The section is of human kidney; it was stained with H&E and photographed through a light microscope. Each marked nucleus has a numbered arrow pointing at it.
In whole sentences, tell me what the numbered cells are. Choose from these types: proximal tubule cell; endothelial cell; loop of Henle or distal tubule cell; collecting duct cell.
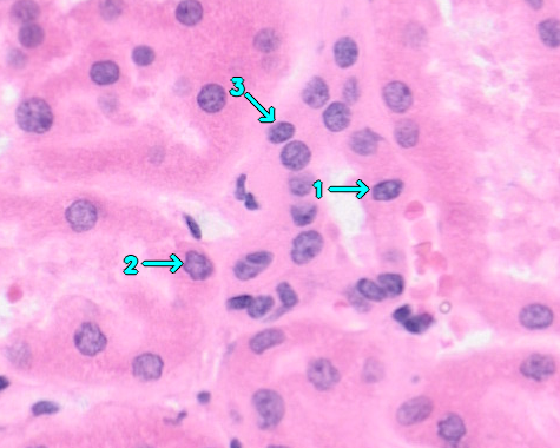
Cells 1 and 3 are collecting duct cells. Cell 2 is a proximal tubule cell.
